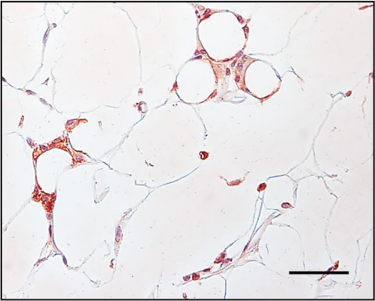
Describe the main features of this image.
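Adipose tissue with macrophages among the fat cells. The fat cells are large, empty, polygonal profiles of unequal size bounded by thin pale membranes, with flattened nuclei pressed to their rims. Red-stained cells with small bluish nuclei gather in the narrow spaces where several fat cells meet. In places the red cells form rings that wrap around smaller fat cell profiles. Elsewhere single red-stained cells lie scattered along the thin septa.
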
